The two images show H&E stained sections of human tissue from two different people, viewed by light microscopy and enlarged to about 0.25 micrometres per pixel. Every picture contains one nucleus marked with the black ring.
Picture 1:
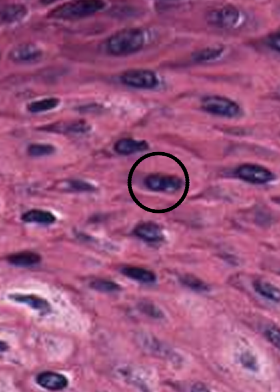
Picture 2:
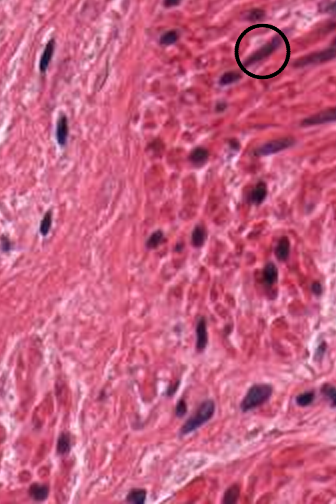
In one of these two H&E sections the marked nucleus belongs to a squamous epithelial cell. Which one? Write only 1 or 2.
1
